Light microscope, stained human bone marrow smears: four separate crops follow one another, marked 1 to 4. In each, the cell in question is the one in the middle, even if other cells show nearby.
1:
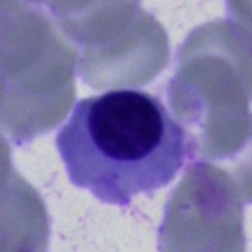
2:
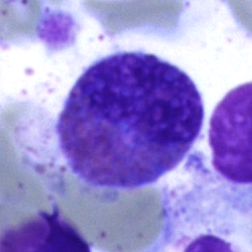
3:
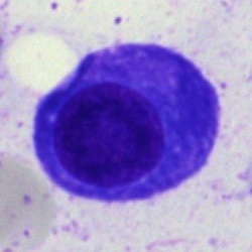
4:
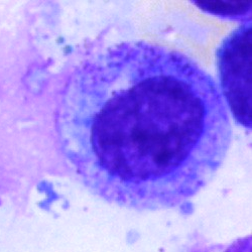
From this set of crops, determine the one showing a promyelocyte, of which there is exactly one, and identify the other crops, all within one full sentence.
Here crop 4 shows a promyelocyte, while crop 1 is an erythroblast, crop 2 is an eosinophil and crop 3 is a plasma cell.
